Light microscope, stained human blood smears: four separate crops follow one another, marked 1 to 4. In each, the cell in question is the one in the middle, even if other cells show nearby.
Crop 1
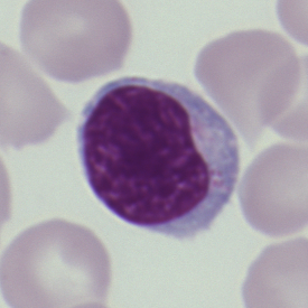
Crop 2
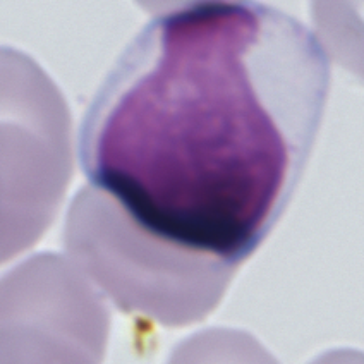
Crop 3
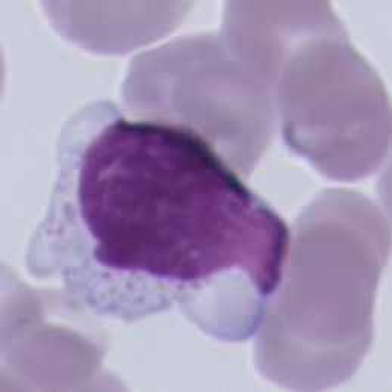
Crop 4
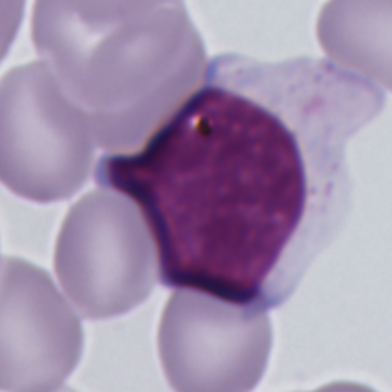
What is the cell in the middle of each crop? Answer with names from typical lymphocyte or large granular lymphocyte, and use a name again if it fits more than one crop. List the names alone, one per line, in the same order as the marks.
typical lymphocyte
large granular lymphocyte
large granular lymphocyte
large granular lymphocyte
